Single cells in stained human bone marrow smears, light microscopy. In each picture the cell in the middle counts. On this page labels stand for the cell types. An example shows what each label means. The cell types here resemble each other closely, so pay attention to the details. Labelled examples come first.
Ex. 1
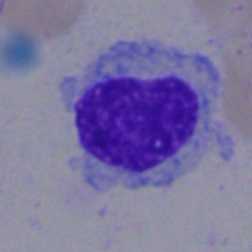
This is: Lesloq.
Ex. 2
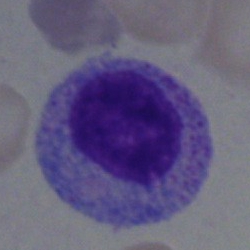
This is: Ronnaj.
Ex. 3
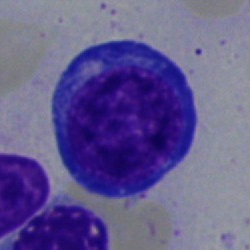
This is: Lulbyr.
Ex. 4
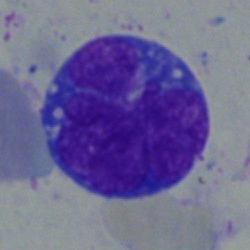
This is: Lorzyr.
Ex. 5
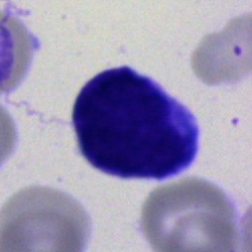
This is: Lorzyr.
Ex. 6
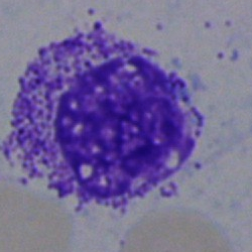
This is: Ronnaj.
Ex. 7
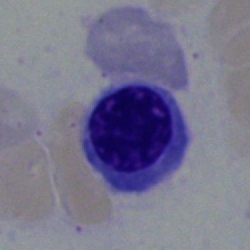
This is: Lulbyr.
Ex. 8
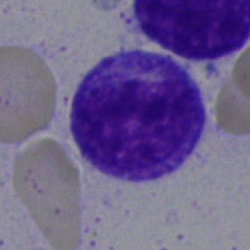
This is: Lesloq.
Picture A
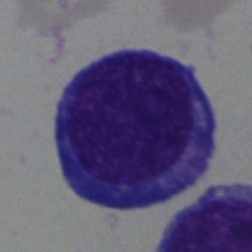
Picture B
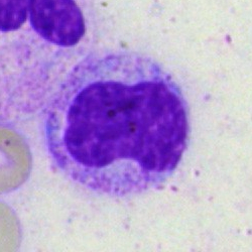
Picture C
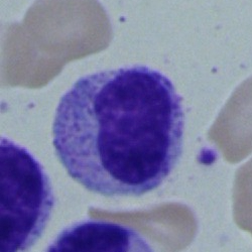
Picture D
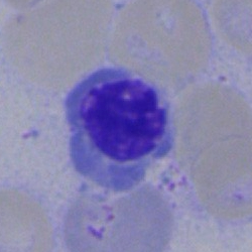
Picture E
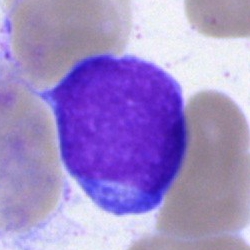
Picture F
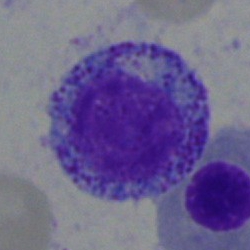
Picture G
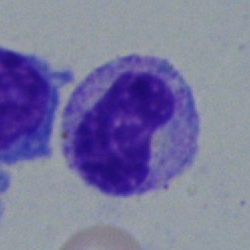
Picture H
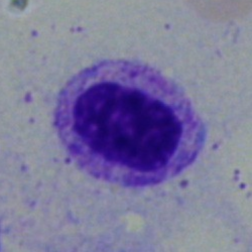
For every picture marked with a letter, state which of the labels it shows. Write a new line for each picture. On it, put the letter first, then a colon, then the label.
A: Lorzyr.
B: Lesloq.
C: Lesloq.
D: Lulbyr.
E: Lorzyr.
F: Ronnaj.
G: Lesloq.
H: Ronnaj.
